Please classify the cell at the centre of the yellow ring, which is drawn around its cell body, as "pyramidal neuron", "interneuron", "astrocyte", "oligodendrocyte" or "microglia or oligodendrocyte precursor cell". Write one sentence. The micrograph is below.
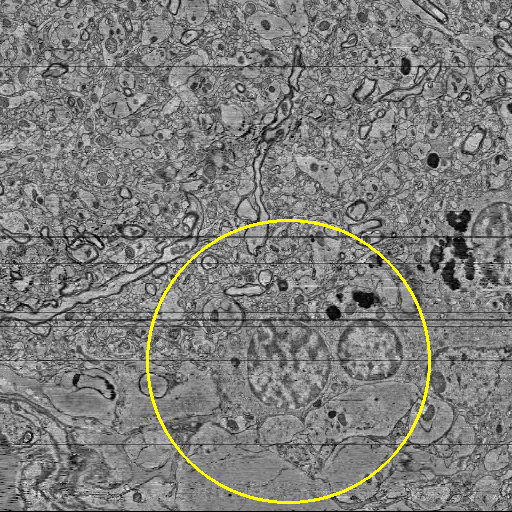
The cell at the ring's centre is classified as an oligodendrocyte.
